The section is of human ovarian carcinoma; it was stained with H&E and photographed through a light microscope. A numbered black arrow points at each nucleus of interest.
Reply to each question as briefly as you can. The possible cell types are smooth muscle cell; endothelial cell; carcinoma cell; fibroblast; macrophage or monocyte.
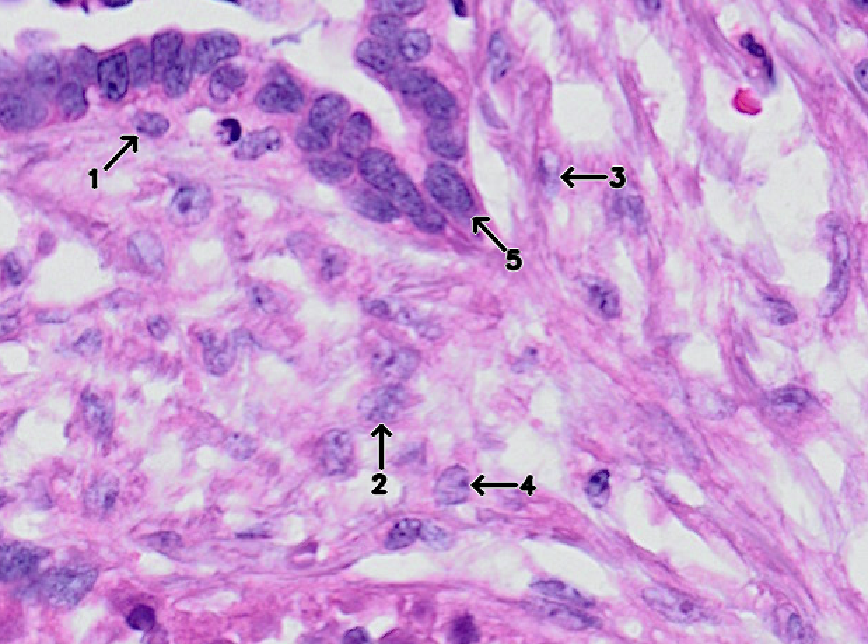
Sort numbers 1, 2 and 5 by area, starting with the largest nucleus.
5, 2, 1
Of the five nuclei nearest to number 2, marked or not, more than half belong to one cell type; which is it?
fibroblast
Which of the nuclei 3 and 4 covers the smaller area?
3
